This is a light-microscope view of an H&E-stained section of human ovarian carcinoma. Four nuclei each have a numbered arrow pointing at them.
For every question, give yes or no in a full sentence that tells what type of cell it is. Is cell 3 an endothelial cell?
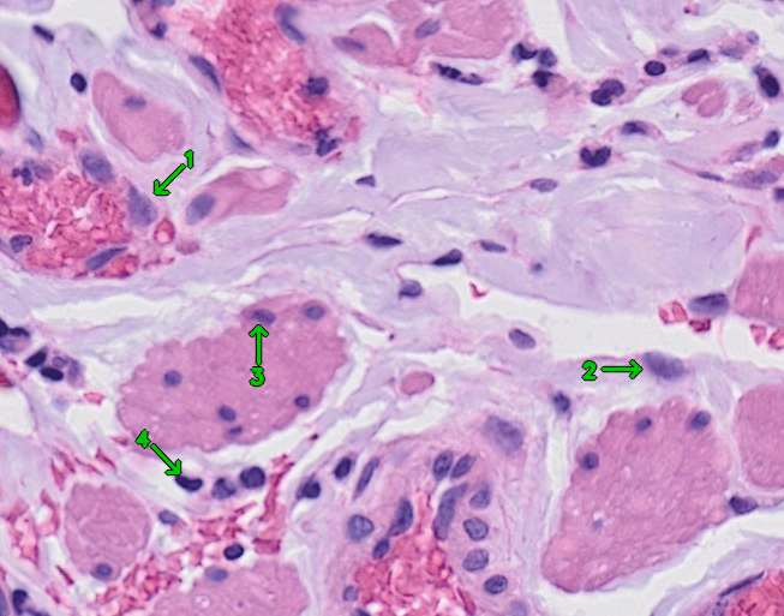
No, cell 3 does not represent an endothelial cell; it represents a smooth muscle cell.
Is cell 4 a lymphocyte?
Yes, so the cell at label 4 is a lymphocyte.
